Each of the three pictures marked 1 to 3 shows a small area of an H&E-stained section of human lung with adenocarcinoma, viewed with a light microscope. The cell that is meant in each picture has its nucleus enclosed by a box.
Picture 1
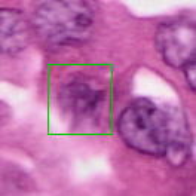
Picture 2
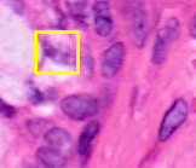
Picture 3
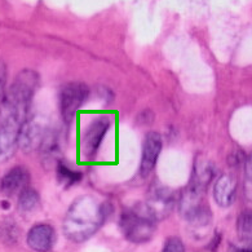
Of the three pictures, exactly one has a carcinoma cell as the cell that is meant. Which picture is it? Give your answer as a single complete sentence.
Picture 1 is the one that shows the carcinoma cell.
